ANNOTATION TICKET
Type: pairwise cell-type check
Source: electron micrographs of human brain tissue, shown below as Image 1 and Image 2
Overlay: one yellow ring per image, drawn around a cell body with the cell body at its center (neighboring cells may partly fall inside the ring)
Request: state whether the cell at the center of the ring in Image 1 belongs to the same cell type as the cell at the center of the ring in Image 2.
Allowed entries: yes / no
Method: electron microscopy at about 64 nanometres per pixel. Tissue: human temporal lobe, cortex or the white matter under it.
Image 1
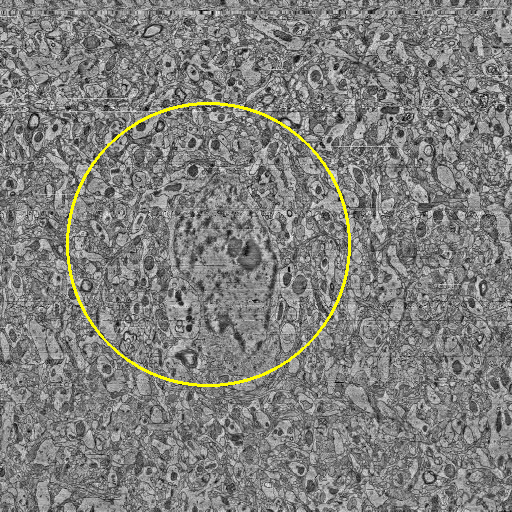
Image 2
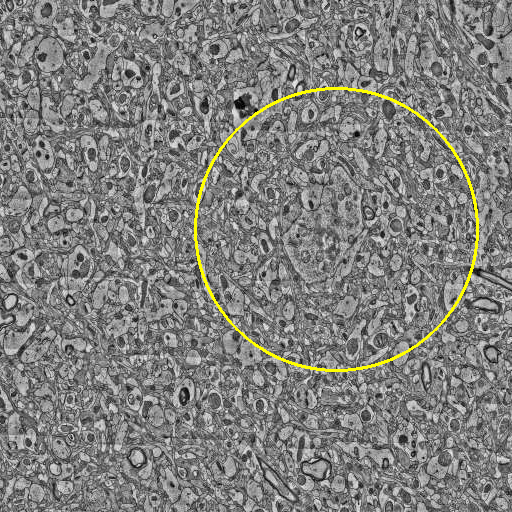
yes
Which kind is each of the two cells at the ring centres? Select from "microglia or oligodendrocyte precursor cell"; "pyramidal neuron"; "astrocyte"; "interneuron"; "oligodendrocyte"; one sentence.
In each of the two pictures, the ringed cell is an interneuron.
